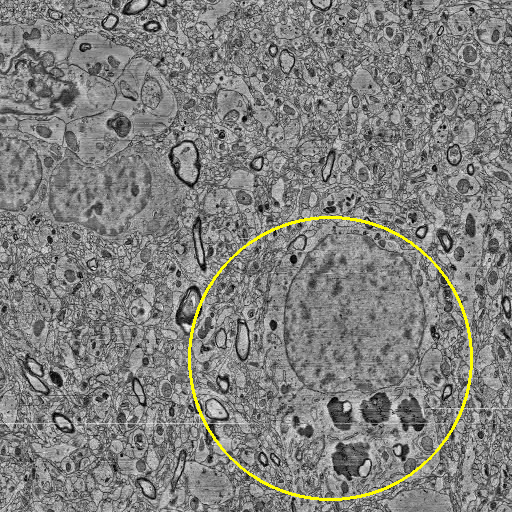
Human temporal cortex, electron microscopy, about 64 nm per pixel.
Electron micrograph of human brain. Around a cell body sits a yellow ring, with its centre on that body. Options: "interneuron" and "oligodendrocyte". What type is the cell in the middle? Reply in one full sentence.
The cell sitting at the centre of the yellow ring is an interneuron.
